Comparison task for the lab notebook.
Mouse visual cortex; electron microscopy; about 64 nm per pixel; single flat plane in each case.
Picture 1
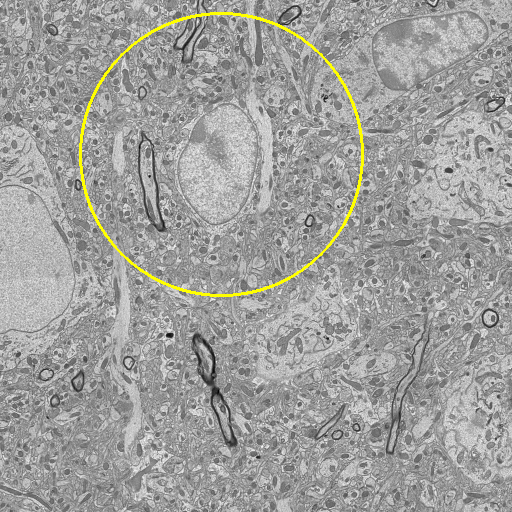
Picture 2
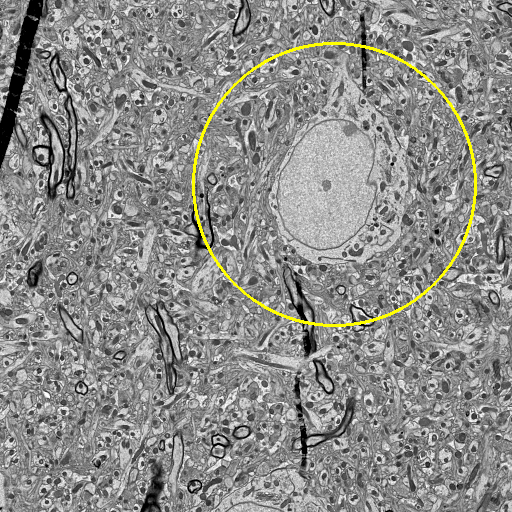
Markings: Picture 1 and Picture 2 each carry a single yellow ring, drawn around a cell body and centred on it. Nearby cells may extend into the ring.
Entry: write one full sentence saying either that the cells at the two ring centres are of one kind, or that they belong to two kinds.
The cells sitting at the ring centres in Picture 1 and Picture 2 belong to two kinds.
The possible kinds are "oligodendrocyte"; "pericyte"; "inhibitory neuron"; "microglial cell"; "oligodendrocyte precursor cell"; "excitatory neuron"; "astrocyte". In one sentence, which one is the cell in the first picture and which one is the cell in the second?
The cell ringed in the second picture is an excitatory neuron, whereas the one ringed in the first is an astrocyte.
